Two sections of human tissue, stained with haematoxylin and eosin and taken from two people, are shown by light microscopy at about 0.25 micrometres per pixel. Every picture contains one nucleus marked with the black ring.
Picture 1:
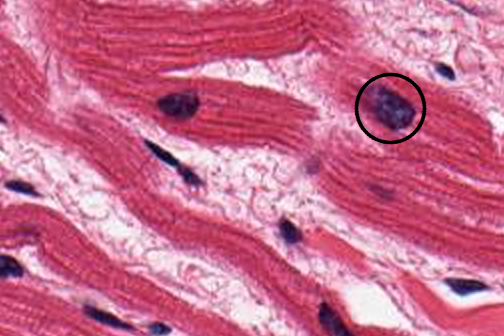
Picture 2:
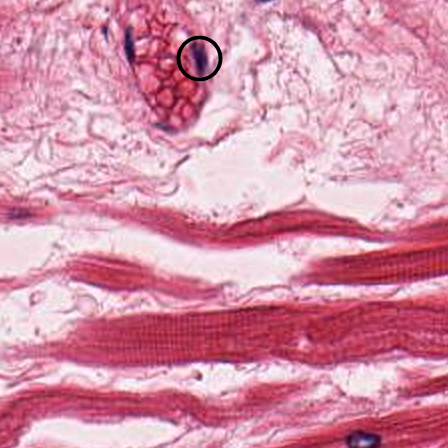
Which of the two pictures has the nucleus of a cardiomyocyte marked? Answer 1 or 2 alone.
1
